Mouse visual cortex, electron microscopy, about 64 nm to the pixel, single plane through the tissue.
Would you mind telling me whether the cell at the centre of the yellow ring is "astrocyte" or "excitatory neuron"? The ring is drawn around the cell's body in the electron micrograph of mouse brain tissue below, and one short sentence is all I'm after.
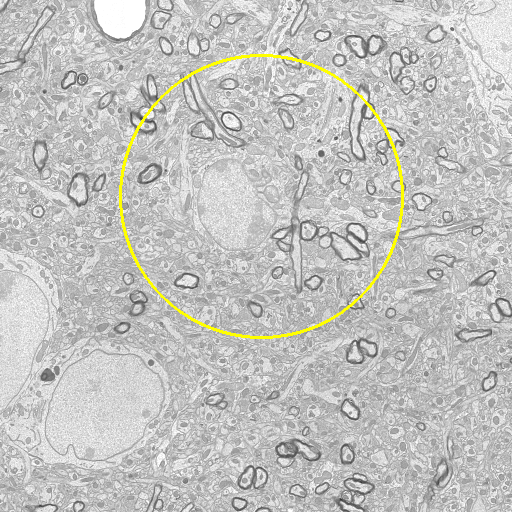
In the centre of the ring lies an astrocyte.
